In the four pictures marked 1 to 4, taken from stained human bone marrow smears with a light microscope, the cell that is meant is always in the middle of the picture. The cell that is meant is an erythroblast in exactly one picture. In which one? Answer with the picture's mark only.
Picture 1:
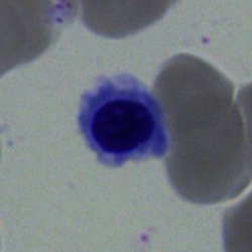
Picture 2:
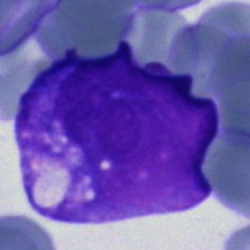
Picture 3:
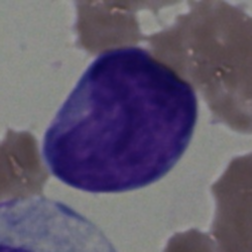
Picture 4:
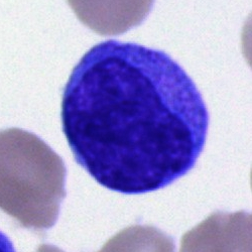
1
